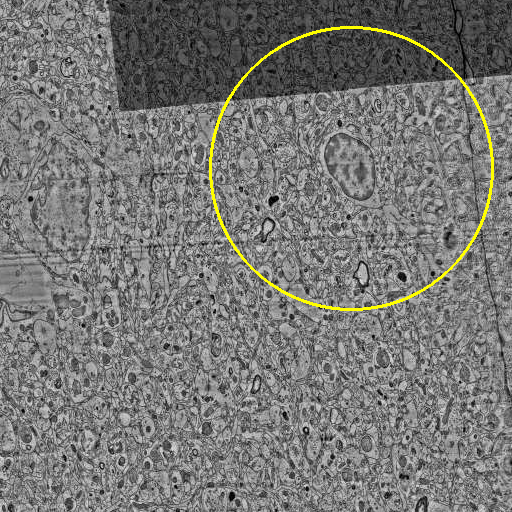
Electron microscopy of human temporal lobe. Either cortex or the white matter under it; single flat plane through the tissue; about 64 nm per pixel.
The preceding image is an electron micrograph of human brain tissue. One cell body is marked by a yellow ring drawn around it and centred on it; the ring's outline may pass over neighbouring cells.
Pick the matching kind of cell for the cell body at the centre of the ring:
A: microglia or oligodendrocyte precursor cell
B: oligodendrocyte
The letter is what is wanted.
A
